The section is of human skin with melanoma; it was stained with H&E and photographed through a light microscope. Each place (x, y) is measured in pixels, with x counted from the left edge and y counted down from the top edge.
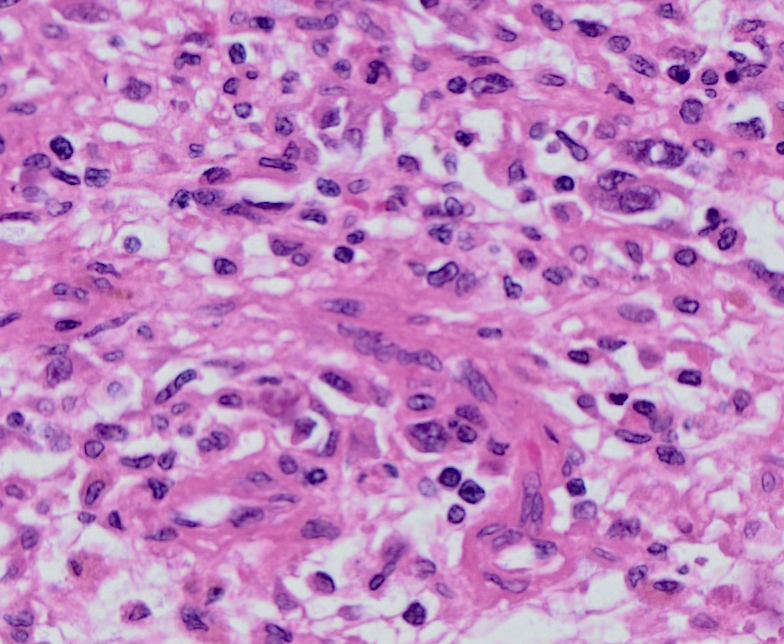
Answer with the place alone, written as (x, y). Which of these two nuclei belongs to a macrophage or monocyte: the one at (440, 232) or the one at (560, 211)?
(560, 211)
